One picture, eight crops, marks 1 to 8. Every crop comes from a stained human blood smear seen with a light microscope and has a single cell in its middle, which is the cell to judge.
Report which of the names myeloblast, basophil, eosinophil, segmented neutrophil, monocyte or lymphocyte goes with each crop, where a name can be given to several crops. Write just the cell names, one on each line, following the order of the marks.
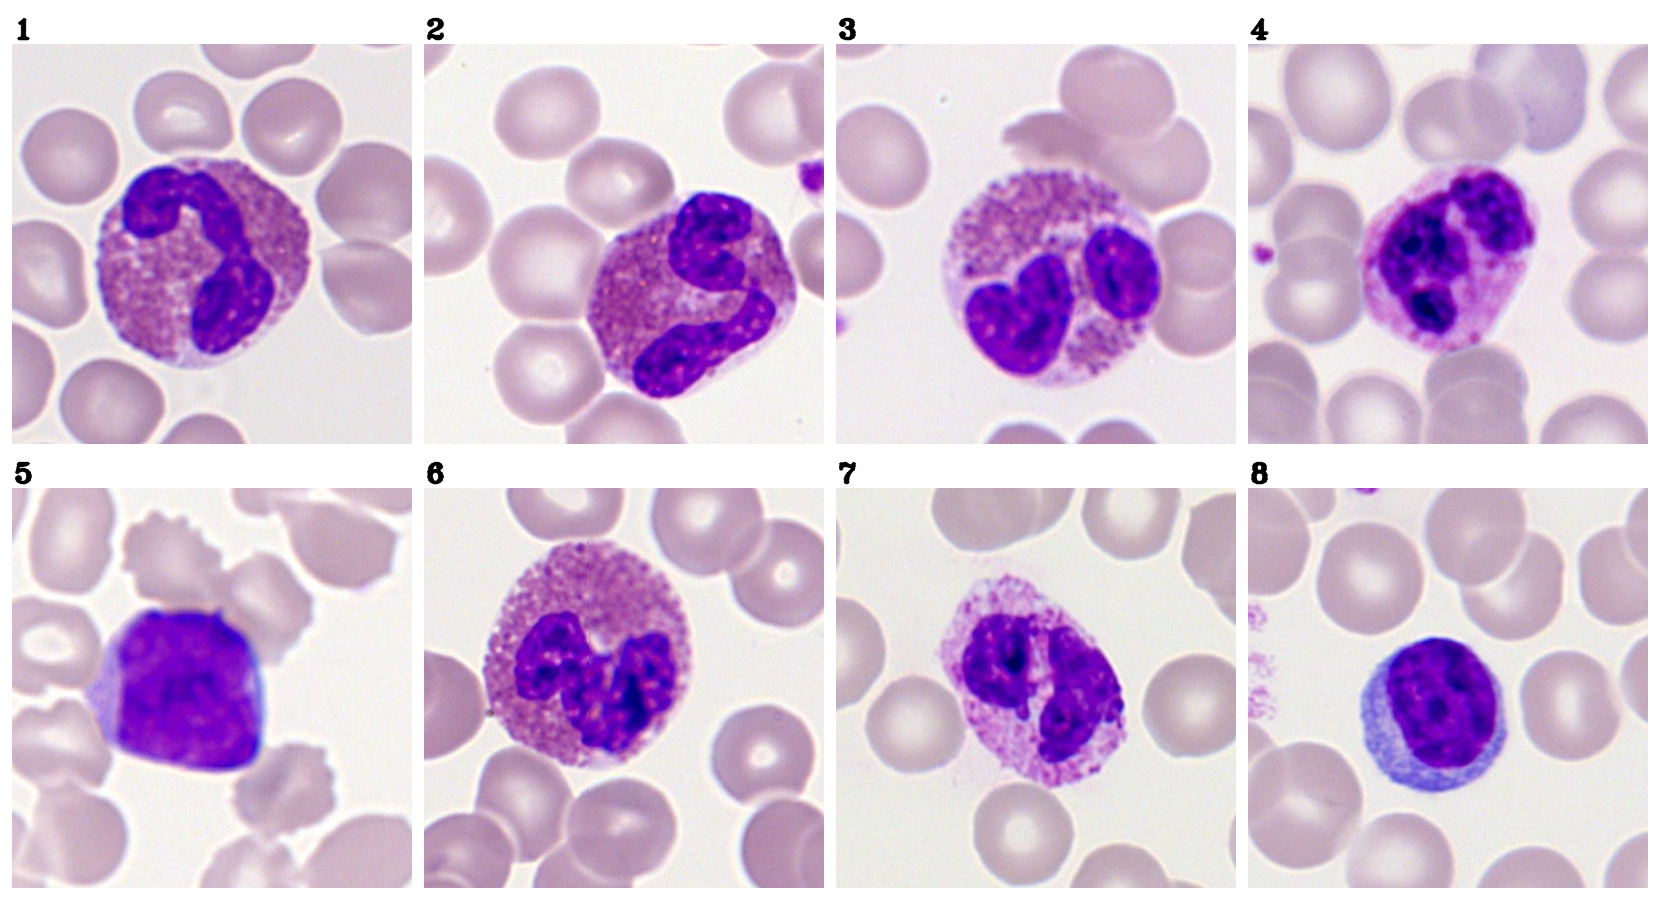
eosinophil
eosinophil
eosinophil
basophil
myeloblast
eosinophil
basophil
lymphocyte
